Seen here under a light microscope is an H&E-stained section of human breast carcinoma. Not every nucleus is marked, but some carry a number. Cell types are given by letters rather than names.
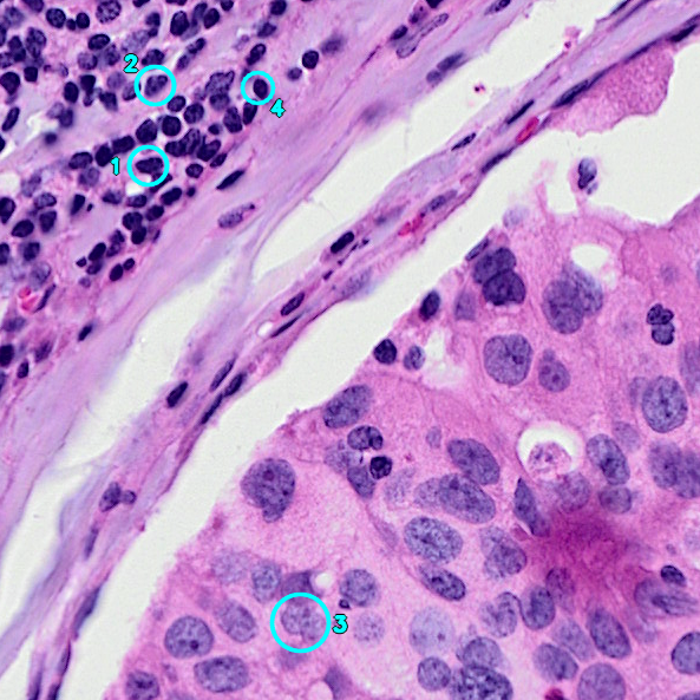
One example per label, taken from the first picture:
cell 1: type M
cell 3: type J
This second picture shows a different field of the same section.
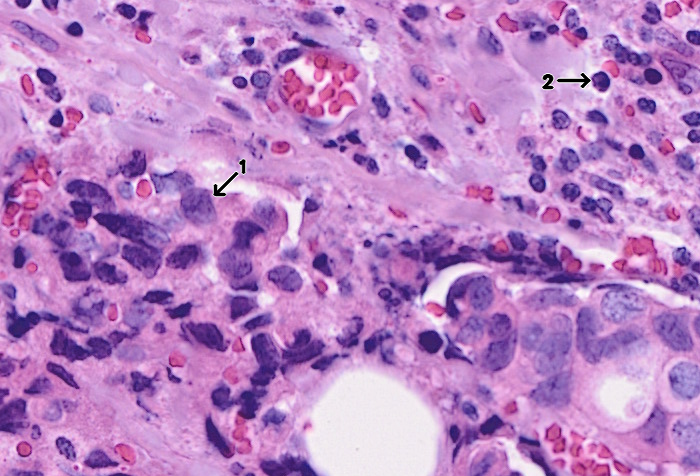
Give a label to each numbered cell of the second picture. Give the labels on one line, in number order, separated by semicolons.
type J; type M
